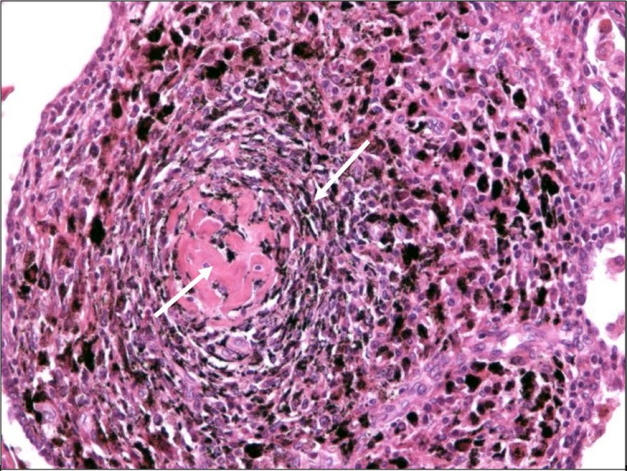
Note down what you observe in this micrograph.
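This is a fibrotic dust lesion of the lung interstitium, made up of aggregates of macrophages whose cytoplasm is packed with coarse black-brown dust pigment. The pigment-laden macrophages crowd the surrounding tissue outside this whorled zone.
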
